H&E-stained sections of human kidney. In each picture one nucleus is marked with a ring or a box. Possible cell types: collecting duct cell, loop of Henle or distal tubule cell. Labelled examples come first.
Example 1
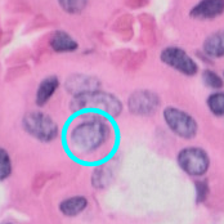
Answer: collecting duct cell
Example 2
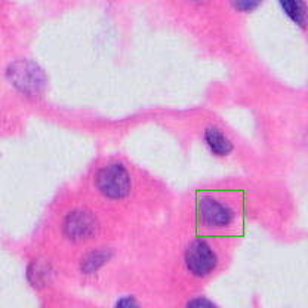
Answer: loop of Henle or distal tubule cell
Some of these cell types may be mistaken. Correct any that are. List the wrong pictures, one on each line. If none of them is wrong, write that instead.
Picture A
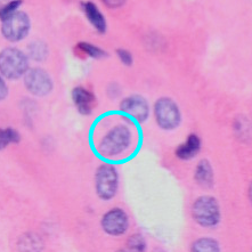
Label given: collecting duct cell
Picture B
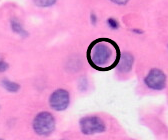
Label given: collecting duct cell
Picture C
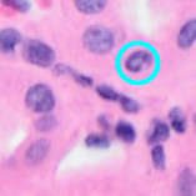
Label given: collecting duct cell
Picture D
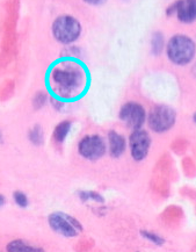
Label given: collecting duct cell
B: loop of Henle or distal tubule cell, not collecting duct cell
